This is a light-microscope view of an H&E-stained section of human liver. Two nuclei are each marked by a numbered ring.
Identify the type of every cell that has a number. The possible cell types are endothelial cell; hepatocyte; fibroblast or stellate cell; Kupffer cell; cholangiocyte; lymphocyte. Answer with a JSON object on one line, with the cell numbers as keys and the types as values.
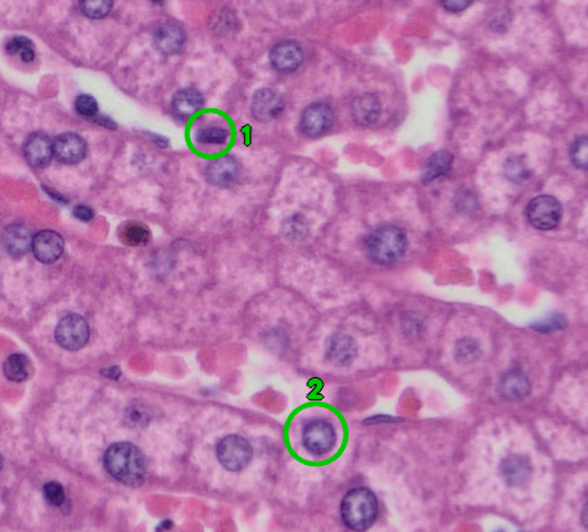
{"1": "fibroblast or stellate cell", "2": "hepatocyte"}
